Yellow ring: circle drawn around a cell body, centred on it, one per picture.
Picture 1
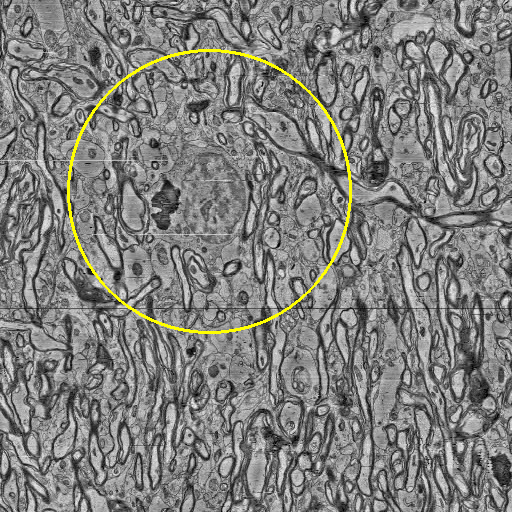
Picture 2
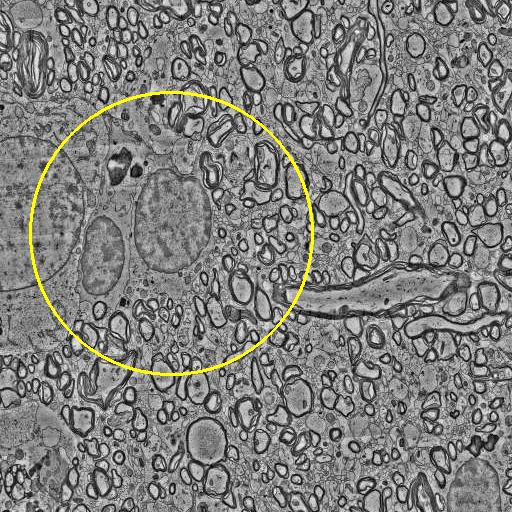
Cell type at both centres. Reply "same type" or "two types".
same type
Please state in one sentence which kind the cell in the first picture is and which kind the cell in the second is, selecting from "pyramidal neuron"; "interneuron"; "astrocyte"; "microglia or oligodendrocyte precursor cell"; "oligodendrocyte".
Each of the two rings surrounds an oligodendrocyte.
